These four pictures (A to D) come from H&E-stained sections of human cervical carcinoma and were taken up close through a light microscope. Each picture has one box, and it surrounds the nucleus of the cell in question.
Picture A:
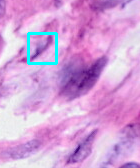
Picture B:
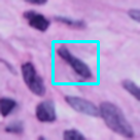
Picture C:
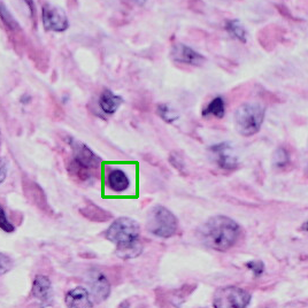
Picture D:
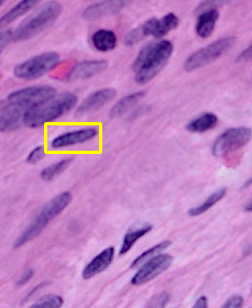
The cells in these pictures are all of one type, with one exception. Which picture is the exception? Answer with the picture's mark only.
C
